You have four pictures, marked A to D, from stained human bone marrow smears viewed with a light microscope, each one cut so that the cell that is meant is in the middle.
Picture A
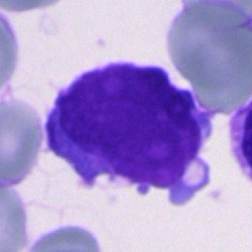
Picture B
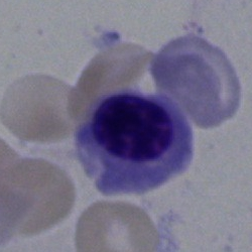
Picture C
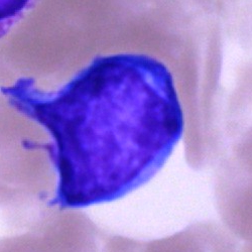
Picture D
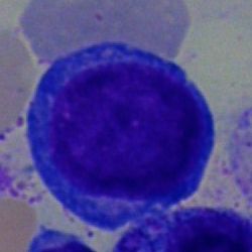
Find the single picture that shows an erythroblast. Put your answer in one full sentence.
Picture B shows the erythroblast.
